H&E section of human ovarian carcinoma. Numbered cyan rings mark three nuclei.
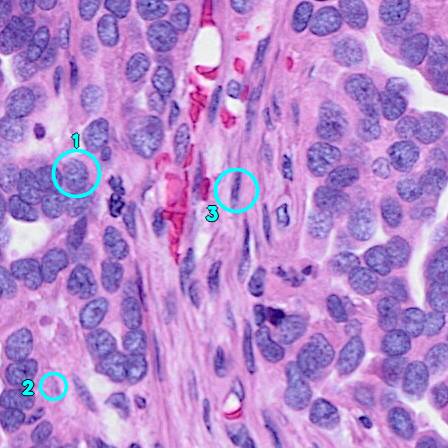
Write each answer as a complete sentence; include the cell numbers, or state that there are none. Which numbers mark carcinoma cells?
In short, cell 1 is a carcinoma cell; the others are not.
